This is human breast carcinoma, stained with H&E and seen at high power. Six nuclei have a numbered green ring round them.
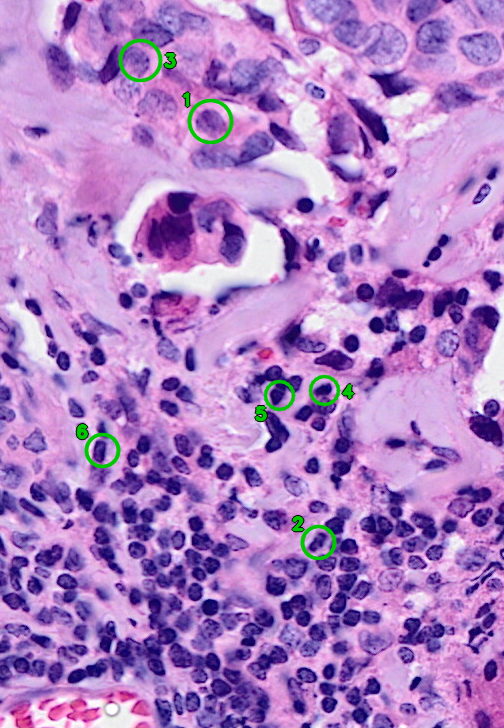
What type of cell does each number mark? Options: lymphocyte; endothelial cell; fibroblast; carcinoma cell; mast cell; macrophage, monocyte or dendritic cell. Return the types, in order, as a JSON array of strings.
["carcinoma cell", "lymphocyte", "carcinoma cell", "lymphocyte", "lymphocyte", "lymphocyte"]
